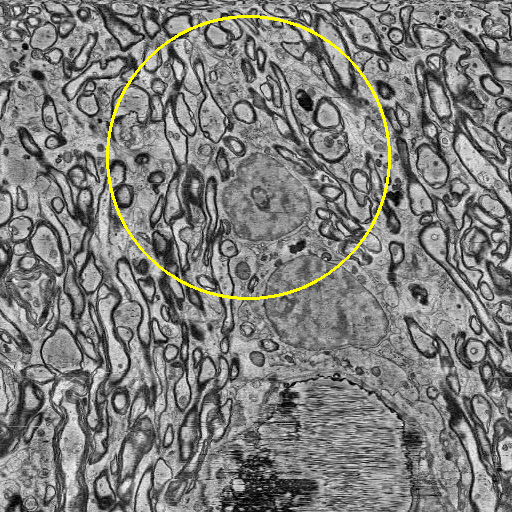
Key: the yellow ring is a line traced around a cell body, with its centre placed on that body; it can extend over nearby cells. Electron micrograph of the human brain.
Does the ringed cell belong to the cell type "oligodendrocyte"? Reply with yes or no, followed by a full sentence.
Yes, the cell at the centre of the yellow ring in the picture is of that type.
